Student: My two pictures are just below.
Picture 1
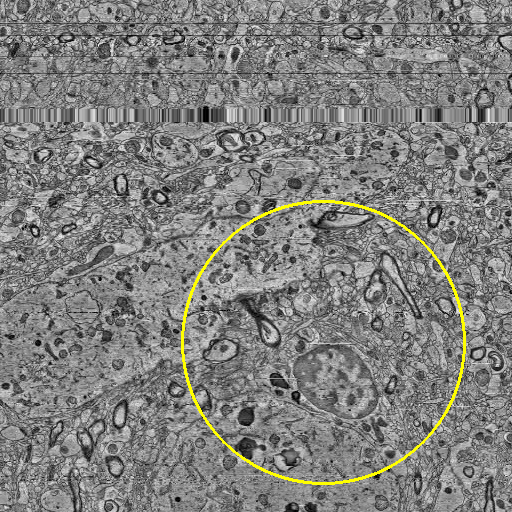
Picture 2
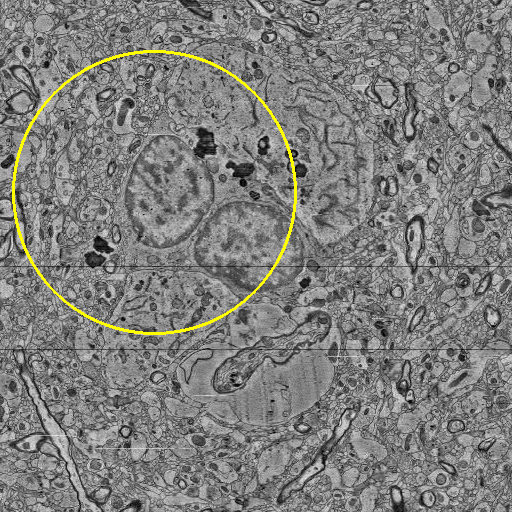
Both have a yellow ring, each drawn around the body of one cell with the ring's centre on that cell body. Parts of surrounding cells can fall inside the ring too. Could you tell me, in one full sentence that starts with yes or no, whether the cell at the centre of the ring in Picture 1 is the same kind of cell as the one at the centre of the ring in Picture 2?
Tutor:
No, the two cells are of two kinds.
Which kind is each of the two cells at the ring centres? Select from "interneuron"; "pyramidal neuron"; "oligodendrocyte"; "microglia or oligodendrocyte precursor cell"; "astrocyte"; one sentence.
The cell at the centre of the ring is a microglial cell or oligodendrocyte precursor cell in the first picture and an oligodendrocyte in the second.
